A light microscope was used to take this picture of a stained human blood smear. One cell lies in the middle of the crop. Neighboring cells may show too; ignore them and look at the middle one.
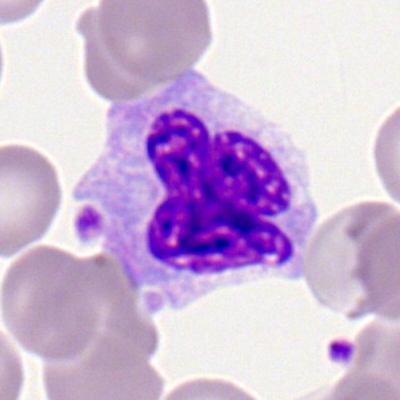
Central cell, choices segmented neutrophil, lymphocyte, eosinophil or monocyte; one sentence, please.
What the crop centres on is a monocyte.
